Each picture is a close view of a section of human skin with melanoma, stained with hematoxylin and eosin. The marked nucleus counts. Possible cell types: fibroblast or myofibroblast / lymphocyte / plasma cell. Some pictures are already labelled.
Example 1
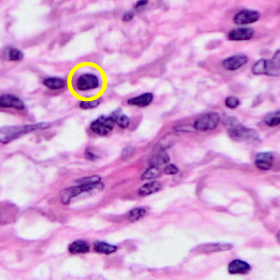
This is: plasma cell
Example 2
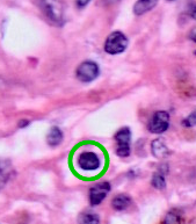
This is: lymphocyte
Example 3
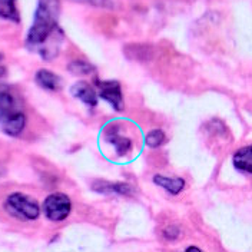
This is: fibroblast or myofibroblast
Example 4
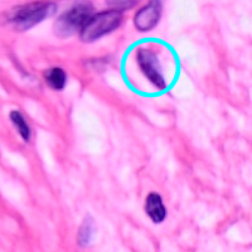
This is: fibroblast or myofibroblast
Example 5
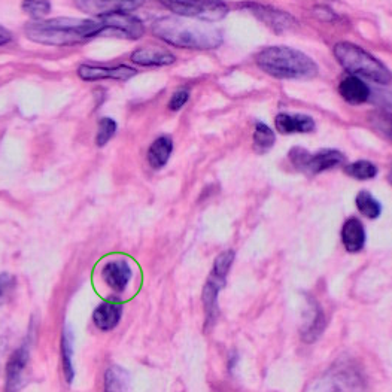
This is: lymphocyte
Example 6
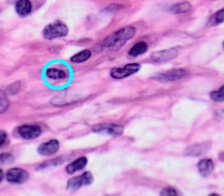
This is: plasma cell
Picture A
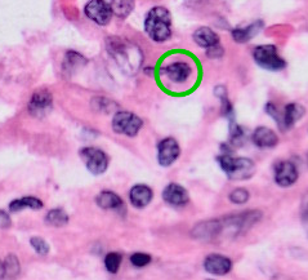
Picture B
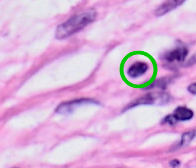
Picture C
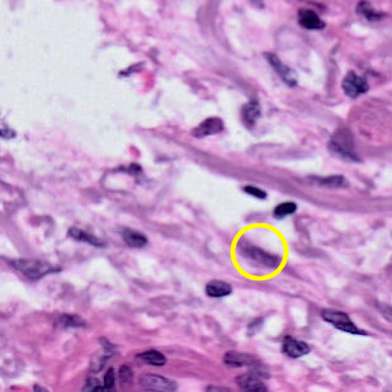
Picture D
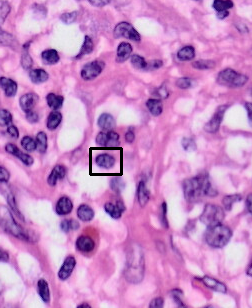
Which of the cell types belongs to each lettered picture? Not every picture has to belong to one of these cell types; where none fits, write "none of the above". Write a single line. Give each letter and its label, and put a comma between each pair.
A lymphocyte, B lymphocyte, C fibroblast or myofibroblast, D lymphocyte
